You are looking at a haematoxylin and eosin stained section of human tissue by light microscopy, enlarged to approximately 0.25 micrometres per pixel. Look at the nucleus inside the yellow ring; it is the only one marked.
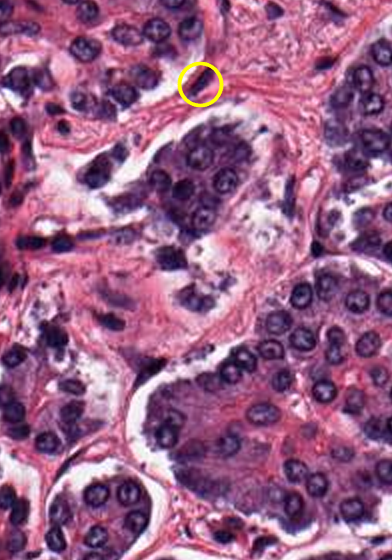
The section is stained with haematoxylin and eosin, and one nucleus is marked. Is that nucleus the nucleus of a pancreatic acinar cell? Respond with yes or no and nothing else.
no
